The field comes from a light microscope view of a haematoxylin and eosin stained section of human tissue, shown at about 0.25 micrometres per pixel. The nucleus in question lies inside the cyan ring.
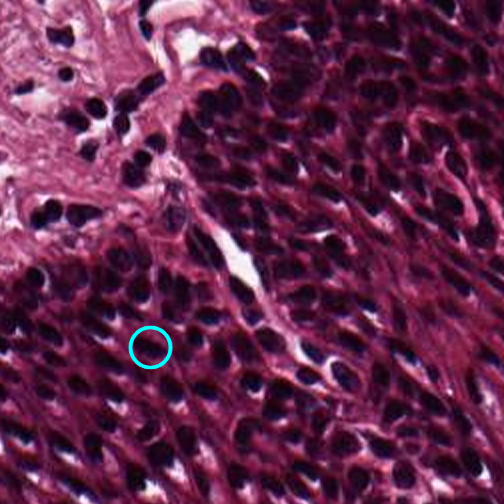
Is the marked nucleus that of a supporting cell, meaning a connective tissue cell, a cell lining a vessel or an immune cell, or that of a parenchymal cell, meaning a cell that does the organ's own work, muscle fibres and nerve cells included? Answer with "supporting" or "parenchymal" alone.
parenchymal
